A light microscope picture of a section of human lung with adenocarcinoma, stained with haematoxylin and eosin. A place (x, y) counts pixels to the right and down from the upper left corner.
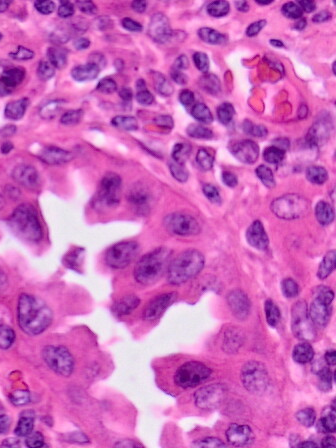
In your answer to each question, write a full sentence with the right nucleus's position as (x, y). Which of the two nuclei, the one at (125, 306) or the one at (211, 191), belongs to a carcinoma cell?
The nucleus at (125, 306) is the one that belongs to a carcinoma cell.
